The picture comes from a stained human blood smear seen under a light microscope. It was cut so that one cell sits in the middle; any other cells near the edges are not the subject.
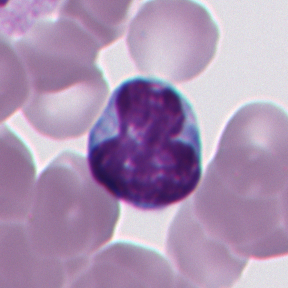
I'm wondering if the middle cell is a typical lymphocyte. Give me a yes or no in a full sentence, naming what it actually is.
Yes, the cell that the crop is centred on is a typical lymphocyte.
